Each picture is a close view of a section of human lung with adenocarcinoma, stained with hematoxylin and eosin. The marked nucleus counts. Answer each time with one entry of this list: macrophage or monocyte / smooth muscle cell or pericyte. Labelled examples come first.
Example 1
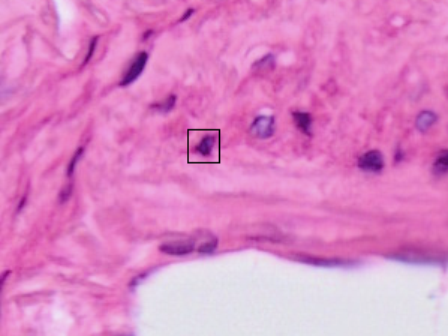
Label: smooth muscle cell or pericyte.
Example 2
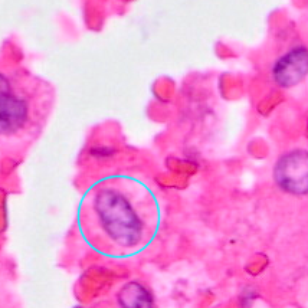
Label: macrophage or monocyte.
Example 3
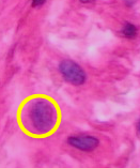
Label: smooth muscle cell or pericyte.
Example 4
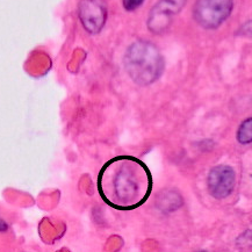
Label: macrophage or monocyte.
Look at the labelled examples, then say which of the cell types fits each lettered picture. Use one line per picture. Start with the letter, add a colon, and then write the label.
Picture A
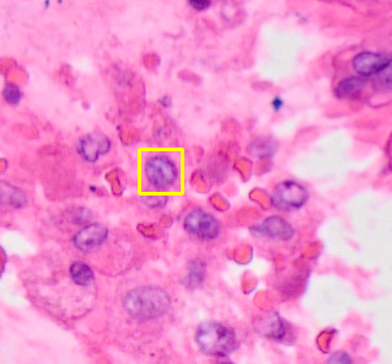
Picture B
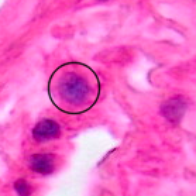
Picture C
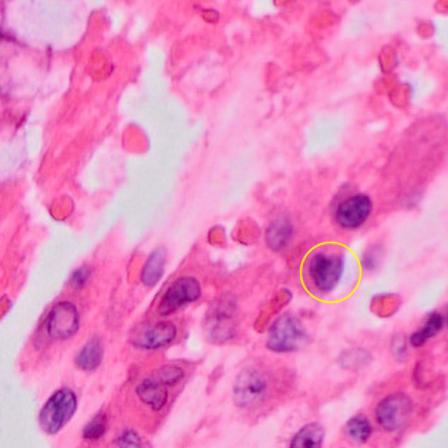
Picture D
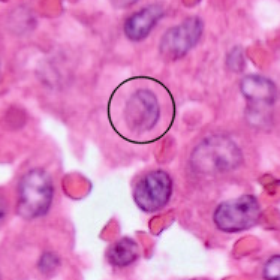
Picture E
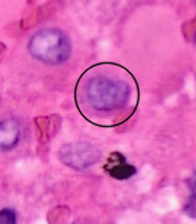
A: macrophage or monocyte.
B: smooth muscle cell or pericyte.
C: macrophage or monocyte.
D: macrophage or monocyte.
E: macrophage or monocyte.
